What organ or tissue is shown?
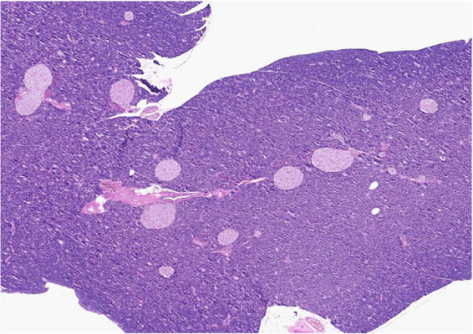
pancreas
